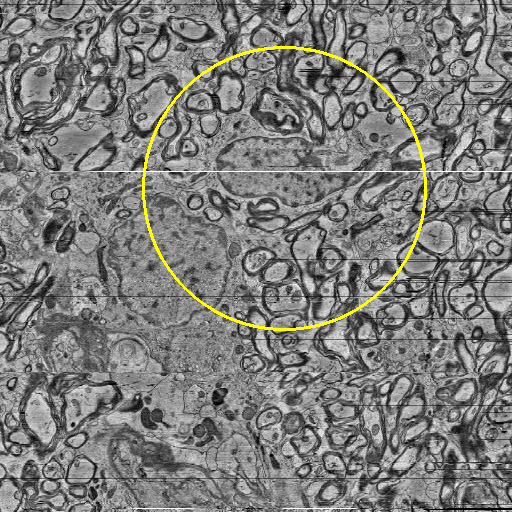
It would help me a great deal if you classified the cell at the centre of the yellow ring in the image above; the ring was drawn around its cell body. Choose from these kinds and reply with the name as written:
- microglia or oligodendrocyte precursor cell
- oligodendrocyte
microglia or oligodendrocyte precursor cell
